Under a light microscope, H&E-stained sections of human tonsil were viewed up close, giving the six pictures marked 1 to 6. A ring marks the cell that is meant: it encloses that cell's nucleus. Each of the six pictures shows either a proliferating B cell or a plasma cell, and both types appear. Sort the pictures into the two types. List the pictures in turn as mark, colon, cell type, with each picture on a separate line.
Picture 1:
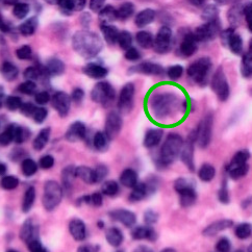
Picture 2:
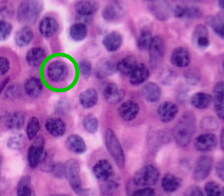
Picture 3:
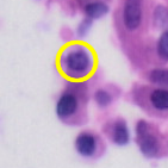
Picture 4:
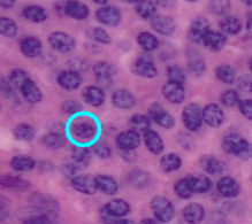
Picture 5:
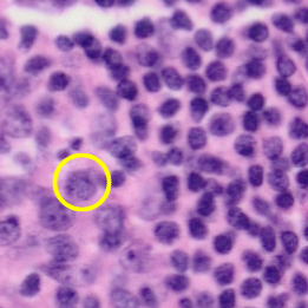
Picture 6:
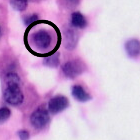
1: proliferating B cell
2: plasma cell
3: plasma cell
4: plasma cell
5: proliferating B cell
6: plasma cell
